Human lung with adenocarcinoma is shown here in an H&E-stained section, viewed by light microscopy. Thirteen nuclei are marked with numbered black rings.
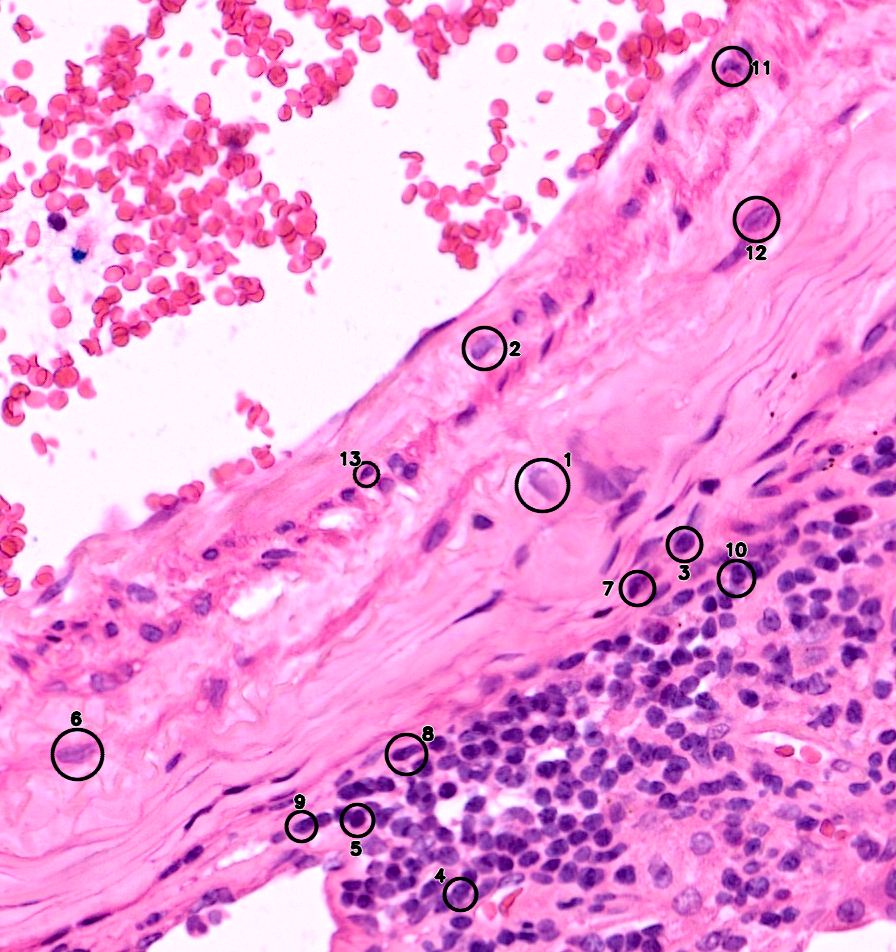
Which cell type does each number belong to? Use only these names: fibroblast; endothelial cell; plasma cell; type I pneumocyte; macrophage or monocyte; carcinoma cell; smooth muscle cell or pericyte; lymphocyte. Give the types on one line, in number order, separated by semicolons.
fibroblast; smooth muscle cell or pericyte; lymphocyte; lymphocyte; lymphocyte; smooth muscle cell or pericyte; plasma cell; lymphocyte; lymphocyte; lymphocyte; smooth muscle cell or pericyte; smooth muscle cell or pericyte; smooth muscle cell or pericyte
